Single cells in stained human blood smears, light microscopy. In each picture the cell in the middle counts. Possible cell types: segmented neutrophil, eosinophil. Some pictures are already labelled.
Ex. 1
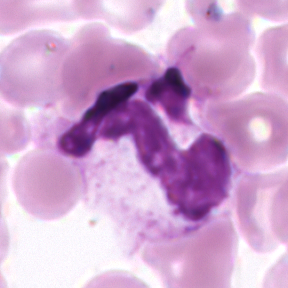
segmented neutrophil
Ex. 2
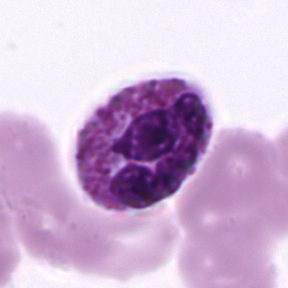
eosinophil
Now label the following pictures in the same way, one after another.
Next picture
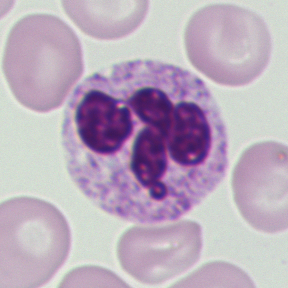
segmented neutrophil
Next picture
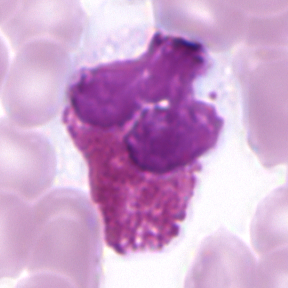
eosinophil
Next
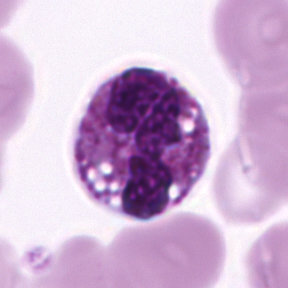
eosinophil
